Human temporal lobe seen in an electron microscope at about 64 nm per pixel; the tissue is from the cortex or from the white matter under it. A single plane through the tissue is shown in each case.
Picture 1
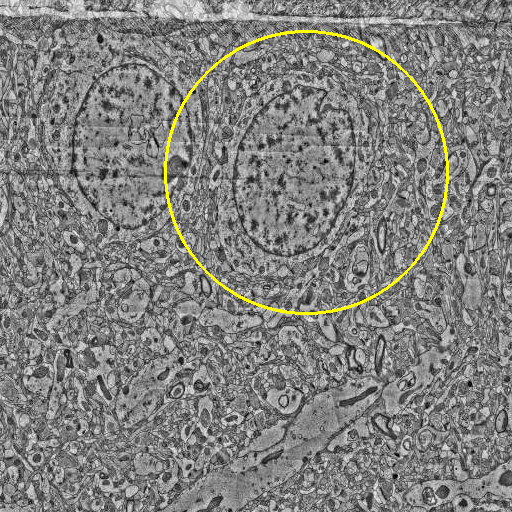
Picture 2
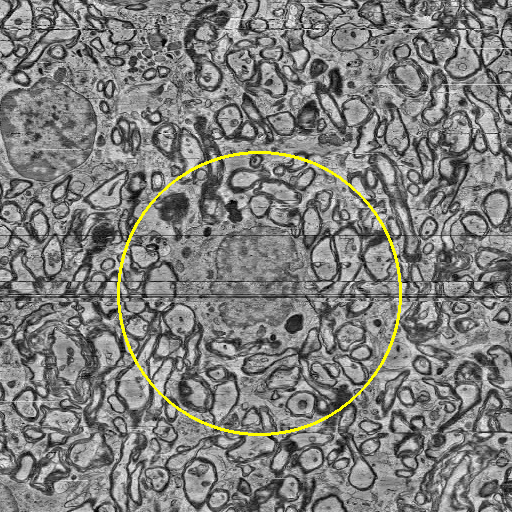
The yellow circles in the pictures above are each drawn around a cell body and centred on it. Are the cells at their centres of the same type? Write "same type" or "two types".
two types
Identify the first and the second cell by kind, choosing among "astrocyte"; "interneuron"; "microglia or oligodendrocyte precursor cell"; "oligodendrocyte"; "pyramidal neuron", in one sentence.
The one in the first picture is a pyramidal neuron, while the one in the second is an oligodendrocyte.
